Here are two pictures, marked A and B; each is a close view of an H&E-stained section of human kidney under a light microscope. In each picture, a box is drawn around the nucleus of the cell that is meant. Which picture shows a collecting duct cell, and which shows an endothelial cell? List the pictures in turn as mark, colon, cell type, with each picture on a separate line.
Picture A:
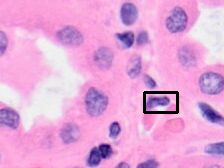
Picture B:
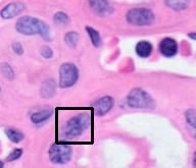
A: endothelial cell
B: collecting duct cell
